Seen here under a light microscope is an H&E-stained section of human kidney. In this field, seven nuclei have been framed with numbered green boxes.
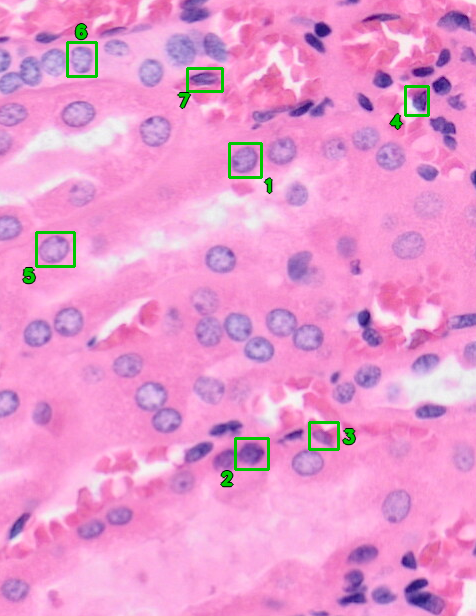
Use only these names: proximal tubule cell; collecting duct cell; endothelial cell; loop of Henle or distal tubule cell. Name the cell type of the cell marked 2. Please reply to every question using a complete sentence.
The one labeled 2 is a proximal tubule cell, to put it simply.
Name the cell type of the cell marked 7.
The one labeled 7 is an endothelial cell, to put it simply.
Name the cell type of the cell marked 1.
The correct label for cell 1 is a proximal tubule cell.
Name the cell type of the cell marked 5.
The identity of cell 5 is that of a proximal tubule cell.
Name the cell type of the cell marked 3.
The cell marked with the number 3 is an endothelial cell.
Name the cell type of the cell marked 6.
The cell pointed out as number 6 is a collecting duct cell.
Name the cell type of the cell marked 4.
The nucleus labeled 4 belongs to an endothelial cell.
